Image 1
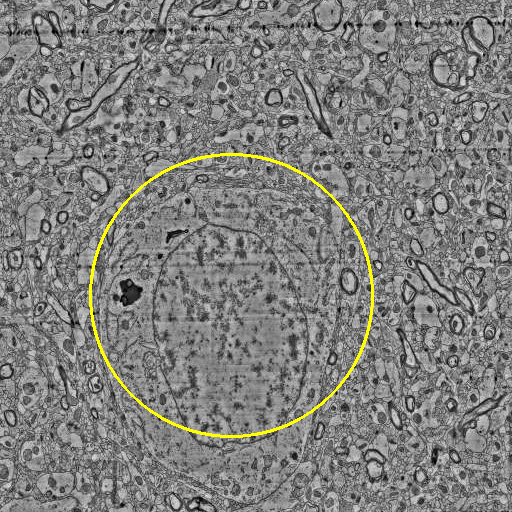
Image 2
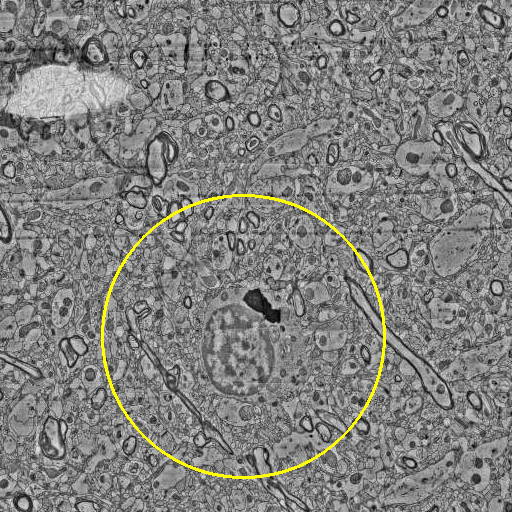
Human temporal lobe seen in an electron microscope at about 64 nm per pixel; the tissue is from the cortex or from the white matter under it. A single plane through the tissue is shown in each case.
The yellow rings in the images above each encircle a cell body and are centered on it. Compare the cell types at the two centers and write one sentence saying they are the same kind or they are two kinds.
Taken together, the two cells at the ring centers are two kinds.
